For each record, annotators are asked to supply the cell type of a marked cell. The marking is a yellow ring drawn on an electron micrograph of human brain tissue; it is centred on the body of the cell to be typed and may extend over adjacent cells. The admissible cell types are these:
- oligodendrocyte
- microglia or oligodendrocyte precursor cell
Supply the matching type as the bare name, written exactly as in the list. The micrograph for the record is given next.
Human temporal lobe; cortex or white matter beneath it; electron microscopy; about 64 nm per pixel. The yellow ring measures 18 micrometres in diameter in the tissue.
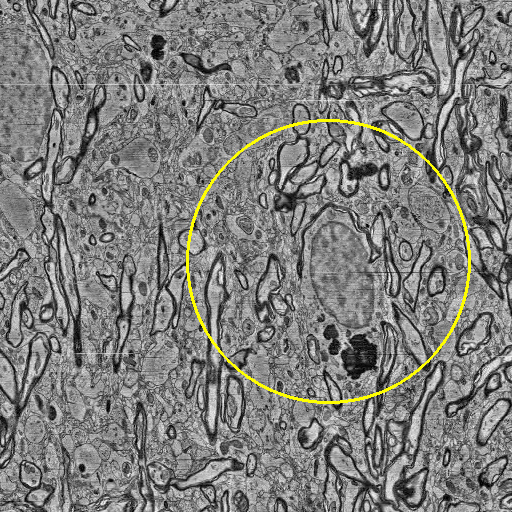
oligodendrocyte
